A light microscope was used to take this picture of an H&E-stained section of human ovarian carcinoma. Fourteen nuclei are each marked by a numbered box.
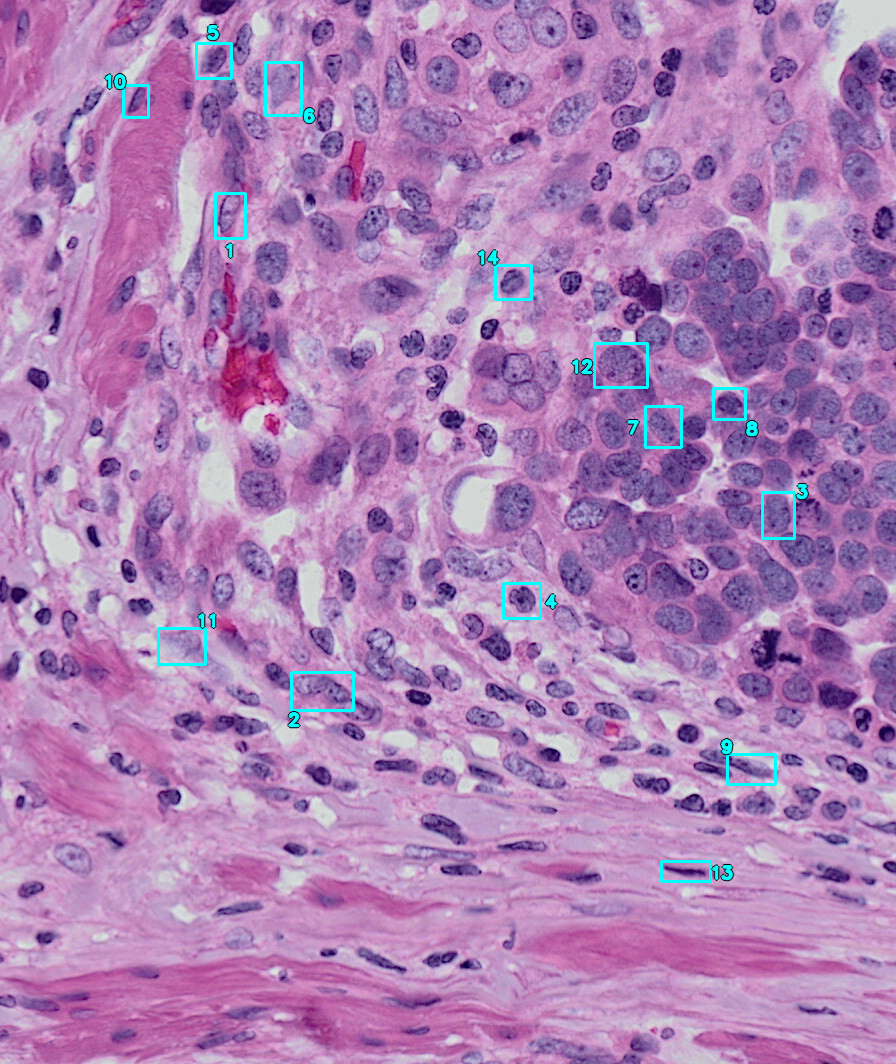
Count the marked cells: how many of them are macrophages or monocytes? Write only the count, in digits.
1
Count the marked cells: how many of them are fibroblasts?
4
